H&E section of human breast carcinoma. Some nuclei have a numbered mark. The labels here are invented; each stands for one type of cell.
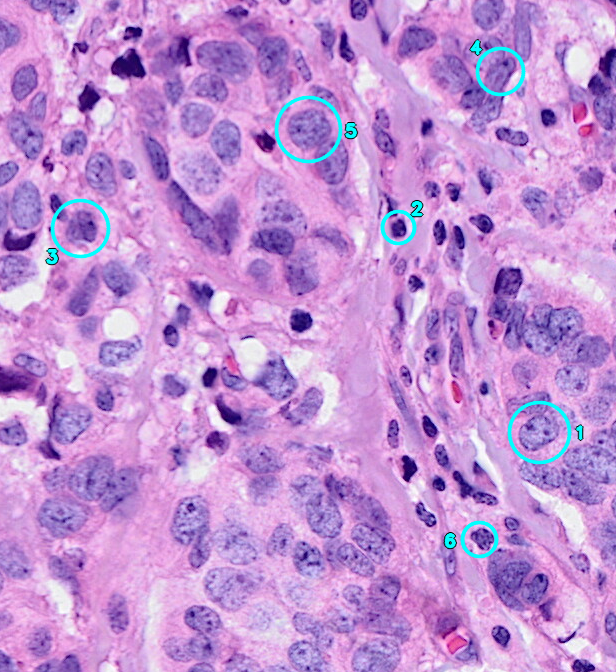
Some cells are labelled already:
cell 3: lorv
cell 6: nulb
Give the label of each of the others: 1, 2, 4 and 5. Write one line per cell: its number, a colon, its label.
1: lorv
2: nulb
4: lorv
5: lorv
